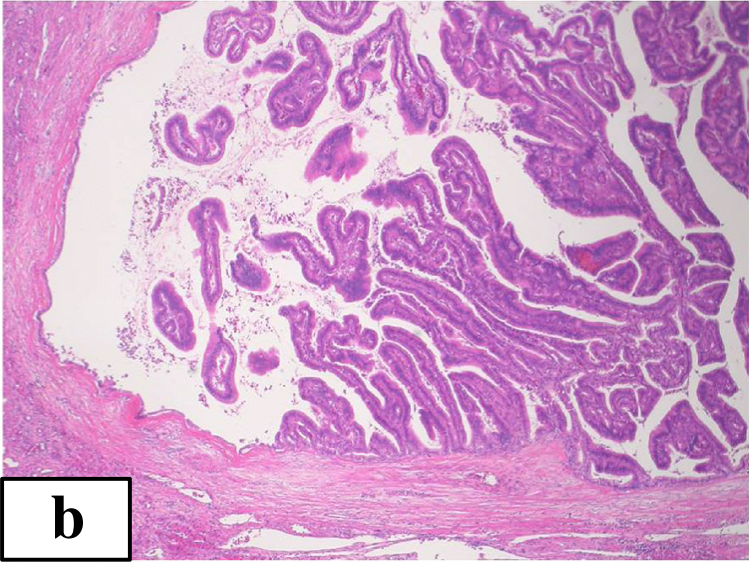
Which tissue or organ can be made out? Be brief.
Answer: Thick hyalinized connective tissue.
